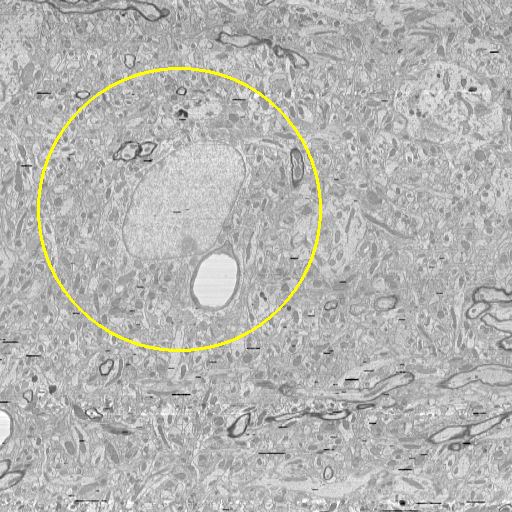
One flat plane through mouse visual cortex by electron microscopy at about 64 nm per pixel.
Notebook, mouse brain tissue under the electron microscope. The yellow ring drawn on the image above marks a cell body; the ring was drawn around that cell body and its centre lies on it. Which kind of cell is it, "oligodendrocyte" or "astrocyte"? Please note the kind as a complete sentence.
The marked cell body is that of an astrocyte.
